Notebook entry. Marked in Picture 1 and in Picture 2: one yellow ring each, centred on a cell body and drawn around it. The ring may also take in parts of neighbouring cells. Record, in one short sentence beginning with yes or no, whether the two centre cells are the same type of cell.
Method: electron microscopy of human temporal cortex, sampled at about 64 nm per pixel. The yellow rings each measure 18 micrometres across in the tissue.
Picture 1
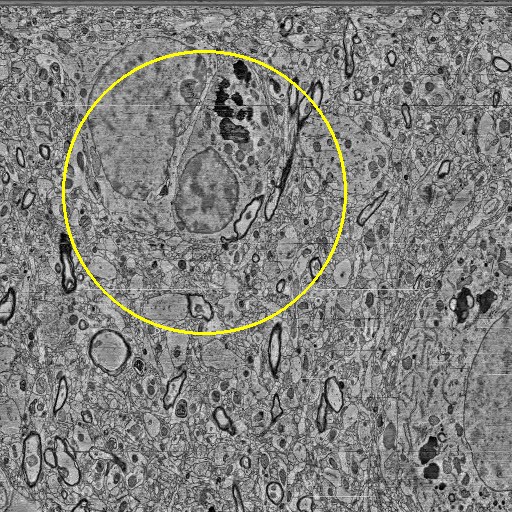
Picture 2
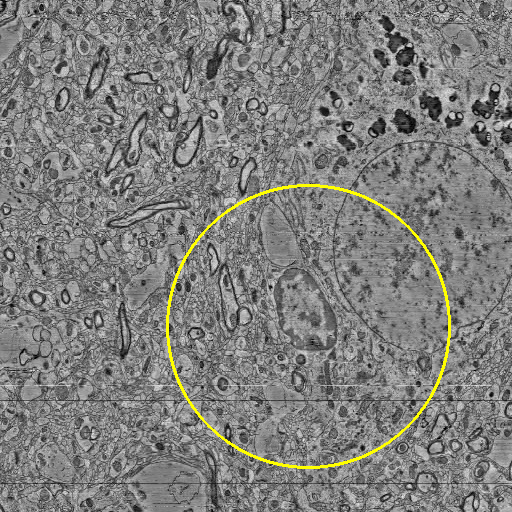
No, they are two types of cell.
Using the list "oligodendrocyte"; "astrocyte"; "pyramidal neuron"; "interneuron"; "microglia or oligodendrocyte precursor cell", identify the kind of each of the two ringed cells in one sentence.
The first is an oligodendrocyte and the second is a microglial cell or oligodendrocyte precursor cell.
